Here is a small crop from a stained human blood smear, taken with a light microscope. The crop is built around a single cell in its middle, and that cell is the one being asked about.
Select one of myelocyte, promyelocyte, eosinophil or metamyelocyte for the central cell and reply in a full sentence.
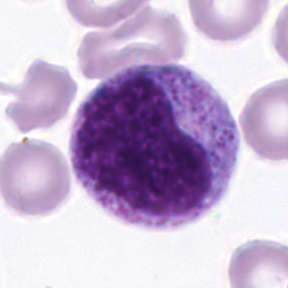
Standing at the centre of this crop is a myelocyte.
